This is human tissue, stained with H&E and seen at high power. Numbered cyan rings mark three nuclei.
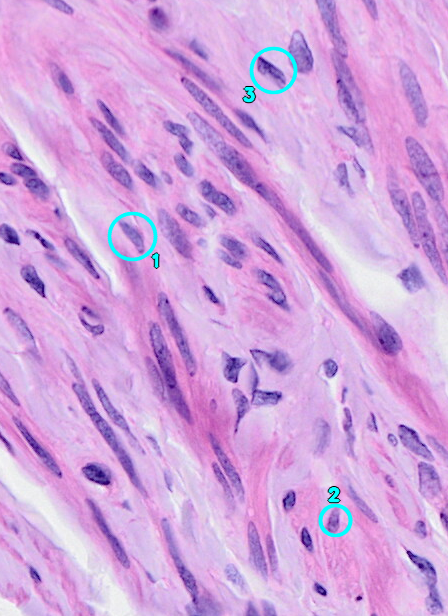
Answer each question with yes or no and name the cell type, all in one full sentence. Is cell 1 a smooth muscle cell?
Yes, the cell numbered 1 in this tissue is a smooth muscle cell.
